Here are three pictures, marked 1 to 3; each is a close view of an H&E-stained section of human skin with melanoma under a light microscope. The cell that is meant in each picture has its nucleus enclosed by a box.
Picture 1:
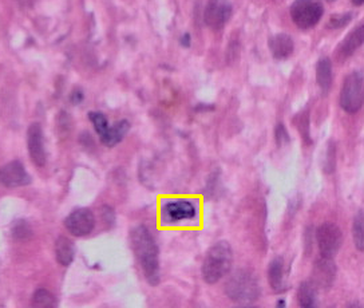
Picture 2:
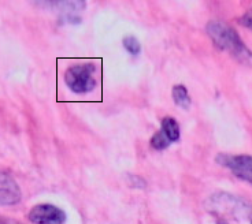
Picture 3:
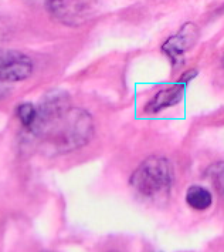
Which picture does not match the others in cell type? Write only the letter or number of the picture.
3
